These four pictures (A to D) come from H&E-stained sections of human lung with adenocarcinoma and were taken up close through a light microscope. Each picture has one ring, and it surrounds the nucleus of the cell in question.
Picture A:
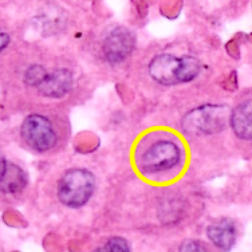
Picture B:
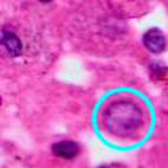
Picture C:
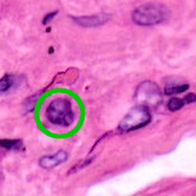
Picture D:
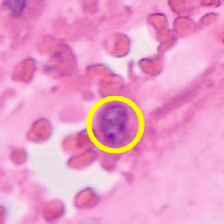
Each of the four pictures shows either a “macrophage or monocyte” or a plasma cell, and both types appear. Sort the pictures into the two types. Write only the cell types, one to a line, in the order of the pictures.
macrophage or monocyte
macrophage or monocyte
plasma cell
macrophage or monocyte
